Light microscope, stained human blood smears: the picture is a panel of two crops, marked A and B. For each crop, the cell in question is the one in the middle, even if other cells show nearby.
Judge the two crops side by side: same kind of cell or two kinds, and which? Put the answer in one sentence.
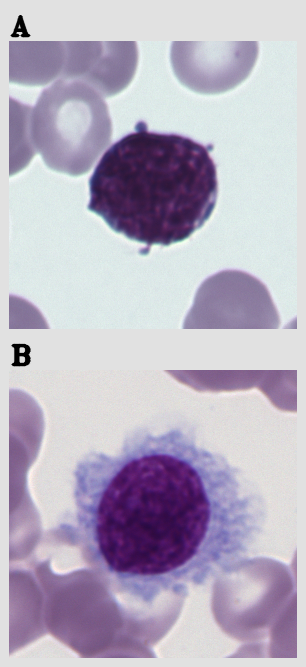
No, crop A features a myeloblast, and crop B features a hairy cell.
